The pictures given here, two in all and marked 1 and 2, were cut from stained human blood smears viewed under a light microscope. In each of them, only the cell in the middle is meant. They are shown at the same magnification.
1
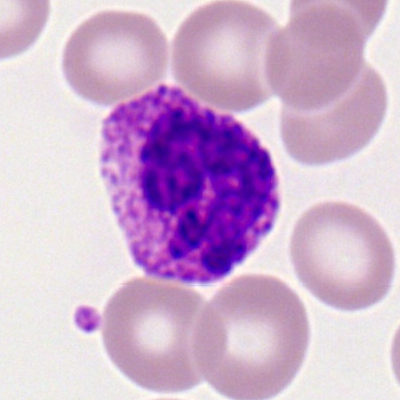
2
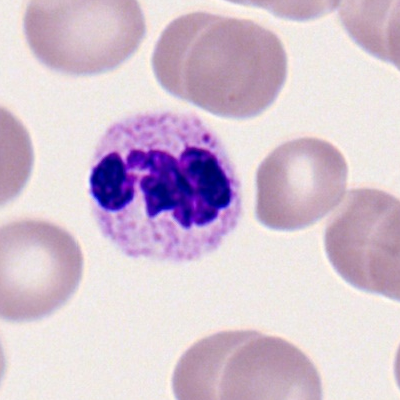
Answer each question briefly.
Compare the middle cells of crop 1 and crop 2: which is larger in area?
1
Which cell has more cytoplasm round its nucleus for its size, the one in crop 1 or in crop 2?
2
